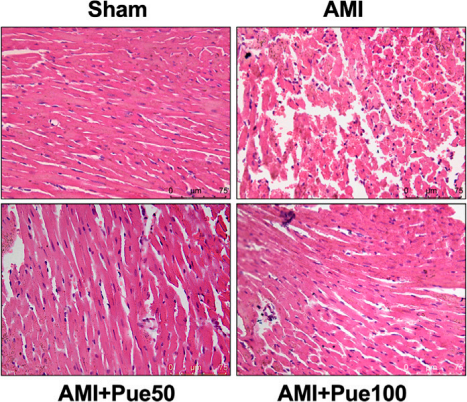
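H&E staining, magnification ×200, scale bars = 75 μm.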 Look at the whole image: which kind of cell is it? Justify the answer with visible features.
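Elongated pink-staining muscle fibres with central oval nuclei. Fibres run in parallel bundles in most of the images. So: cardiomyocyte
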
